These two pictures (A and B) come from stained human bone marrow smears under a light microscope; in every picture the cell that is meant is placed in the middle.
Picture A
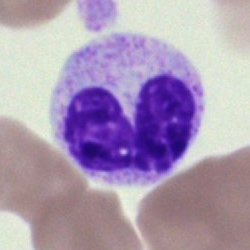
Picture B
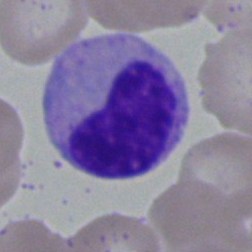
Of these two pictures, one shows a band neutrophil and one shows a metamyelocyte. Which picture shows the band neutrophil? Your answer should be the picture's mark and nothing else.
A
